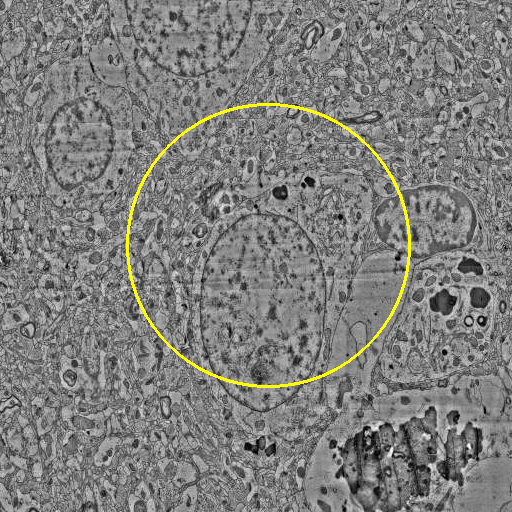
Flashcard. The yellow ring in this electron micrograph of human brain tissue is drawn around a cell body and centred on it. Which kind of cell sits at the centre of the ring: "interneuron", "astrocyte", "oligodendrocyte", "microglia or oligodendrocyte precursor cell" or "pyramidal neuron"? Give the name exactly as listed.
pyramidal neuron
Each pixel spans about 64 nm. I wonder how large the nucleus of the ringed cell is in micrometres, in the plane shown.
About 13 by 8 micrometres, the nucleus being clearly longer than it is wide in this plane.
